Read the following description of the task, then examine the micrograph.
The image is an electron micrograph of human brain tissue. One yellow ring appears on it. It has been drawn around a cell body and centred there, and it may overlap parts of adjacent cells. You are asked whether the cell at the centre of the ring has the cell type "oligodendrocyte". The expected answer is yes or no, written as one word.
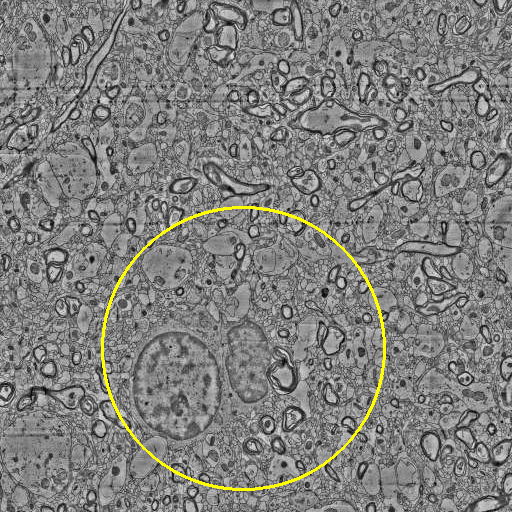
yes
